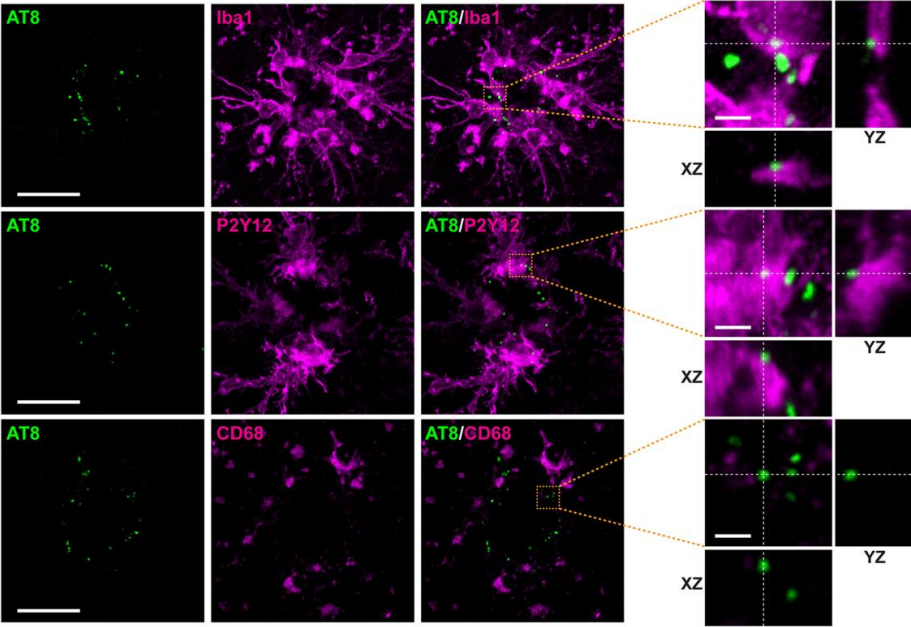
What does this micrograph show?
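Magenta cells with small bodies and many fine, ramified processes crowd together in the upper rows, while the bottom row shows scattered magenta dots and blobs. Small round green puncta lie among these cells, and the enlarged orthogonal views show the green puncta sitting beside rather than within the magenta structures. These branched cells are microglia surrounding a cluster of green puncta.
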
